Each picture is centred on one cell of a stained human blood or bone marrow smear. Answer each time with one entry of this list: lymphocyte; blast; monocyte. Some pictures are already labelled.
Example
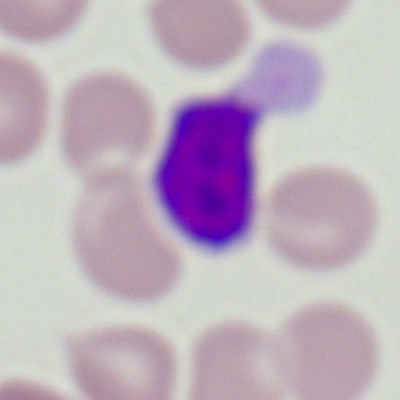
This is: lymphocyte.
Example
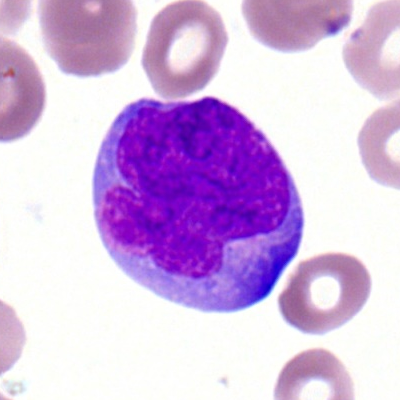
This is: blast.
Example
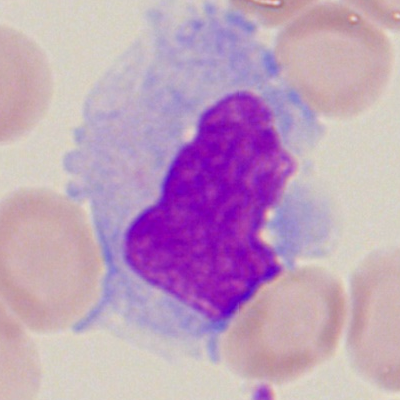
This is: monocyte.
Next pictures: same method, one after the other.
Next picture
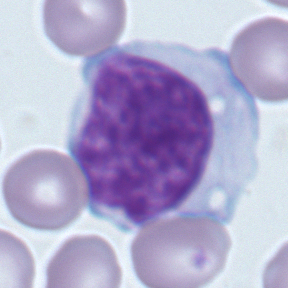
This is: blast.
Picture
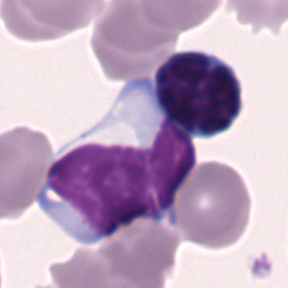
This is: lymphocyte.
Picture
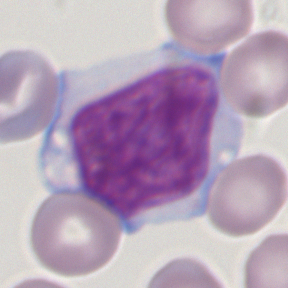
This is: blast.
